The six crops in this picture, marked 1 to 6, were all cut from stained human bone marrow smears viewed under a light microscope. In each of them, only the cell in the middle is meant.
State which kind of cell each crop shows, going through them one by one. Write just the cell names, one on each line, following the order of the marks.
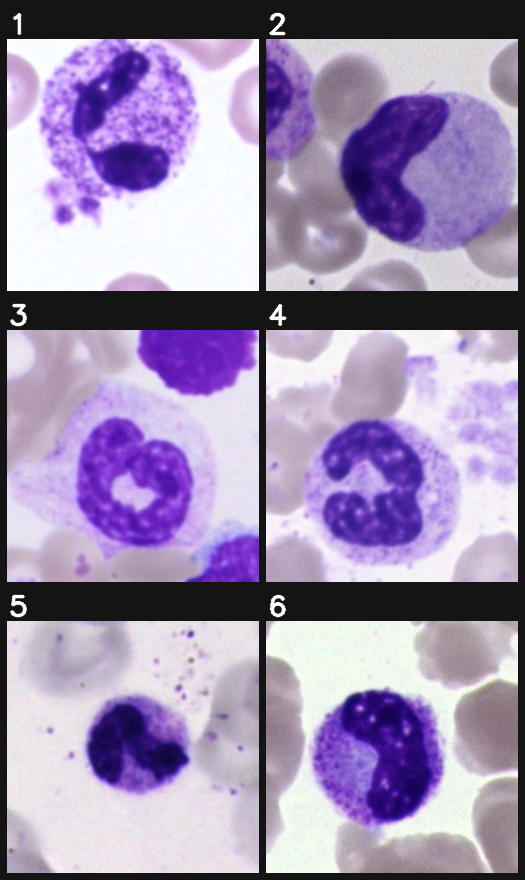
segmented neutrophil
band neutrophil
band neutrophil
segmented neutrophil
segmented neutrophil
band neutrophil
